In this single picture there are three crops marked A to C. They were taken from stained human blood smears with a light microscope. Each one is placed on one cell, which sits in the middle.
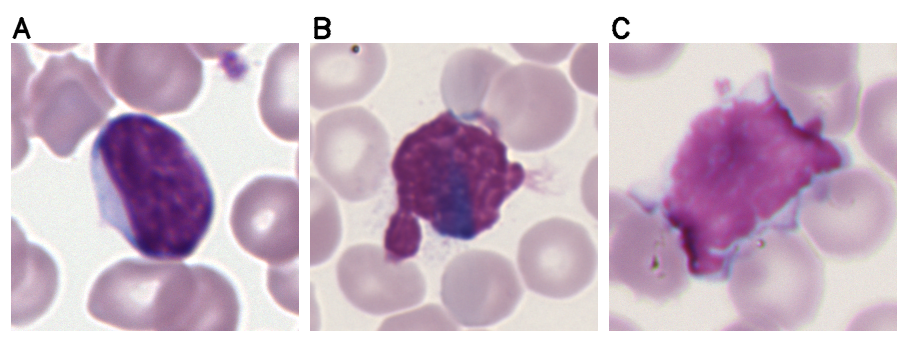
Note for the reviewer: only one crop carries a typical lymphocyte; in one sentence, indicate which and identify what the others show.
Seen in crop C is a typical lymphocyte, while crop A is a myeloblast and crop B is a smudge cell.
